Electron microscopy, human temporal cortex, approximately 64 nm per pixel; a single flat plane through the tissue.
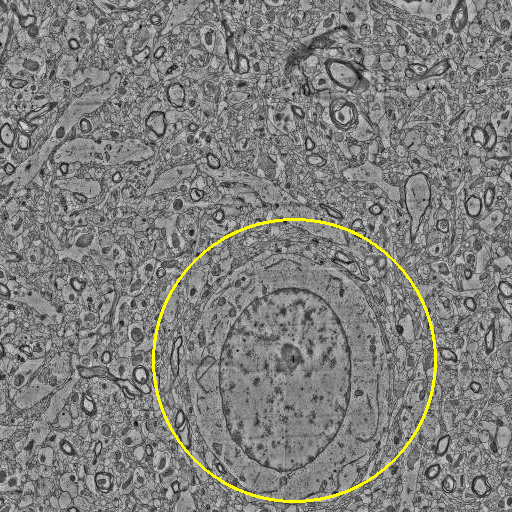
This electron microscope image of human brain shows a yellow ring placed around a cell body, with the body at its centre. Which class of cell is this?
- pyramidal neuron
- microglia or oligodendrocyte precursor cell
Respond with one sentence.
The cell body at the ring's centre is a pyramidal neuron.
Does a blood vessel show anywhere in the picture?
No.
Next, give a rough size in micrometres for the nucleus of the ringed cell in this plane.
About 12 by 9 micrometers, in this plane.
